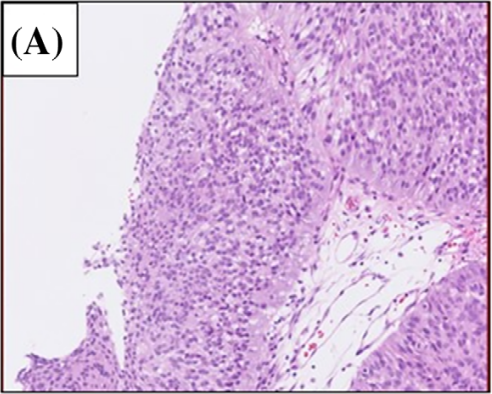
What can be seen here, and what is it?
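This is a tumour of neoplastic cells arranged in a papillary pattern, with thick layers of crowded cells covering thin cores of loose, pale stroma. The cells have dark, oval to elongated nuclei and pink cytoplasm, and form fronds with a free surface facing an open space.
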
